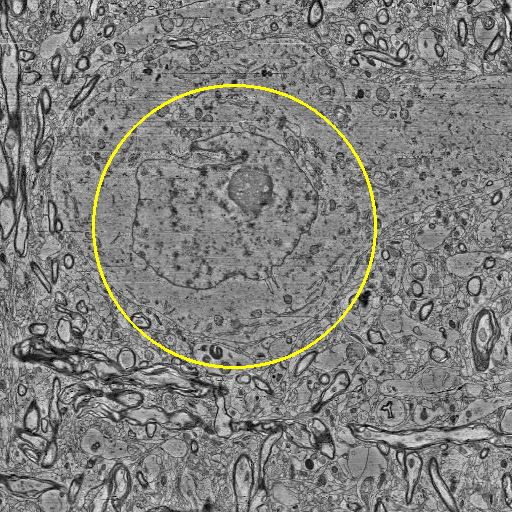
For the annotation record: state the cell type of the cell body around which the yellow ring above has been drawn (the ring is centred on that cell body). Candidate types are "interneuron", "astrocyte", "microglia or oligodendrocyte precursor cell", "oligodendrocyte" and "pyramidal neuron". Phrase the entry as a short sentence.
The ringed cell is a pyramidal neuron.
